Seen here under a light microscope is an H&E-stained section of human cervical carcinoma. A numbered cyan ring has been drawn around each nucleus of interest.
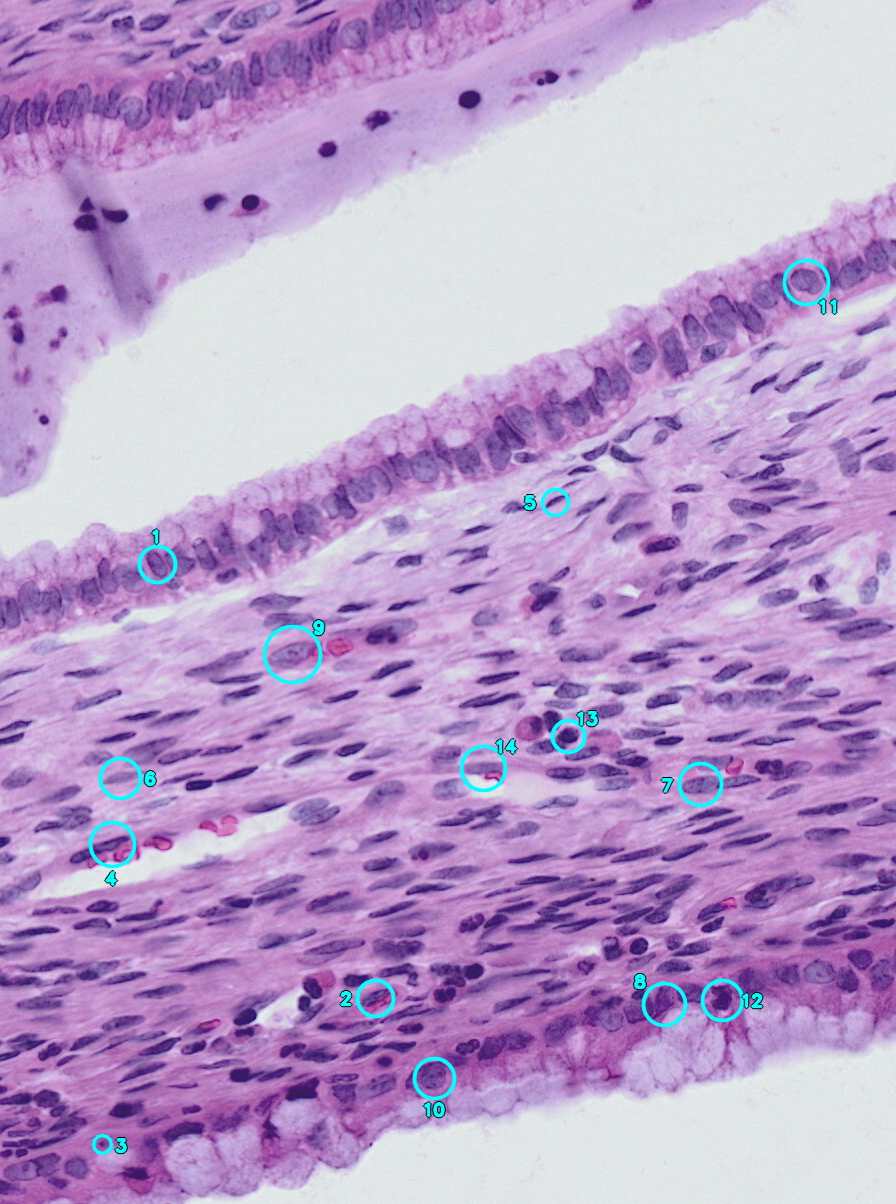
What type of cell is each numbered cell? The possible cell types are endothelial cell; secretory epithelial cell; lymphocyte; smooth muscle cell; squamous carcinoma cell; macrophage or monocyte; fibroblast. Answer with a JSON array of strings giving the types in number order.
["secretory epithelial cell", "endothelial cell", "secretory epithelial cell", "endothelial cell", "fibroblast", "fibroblast", "endothelial cell", "secretory epithelial cell", "endothelial cell", "secretory epithelial cell", "secretory epithelial cell", "secretory epithelial cell", "lymphocyte", "endothelial cell"]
